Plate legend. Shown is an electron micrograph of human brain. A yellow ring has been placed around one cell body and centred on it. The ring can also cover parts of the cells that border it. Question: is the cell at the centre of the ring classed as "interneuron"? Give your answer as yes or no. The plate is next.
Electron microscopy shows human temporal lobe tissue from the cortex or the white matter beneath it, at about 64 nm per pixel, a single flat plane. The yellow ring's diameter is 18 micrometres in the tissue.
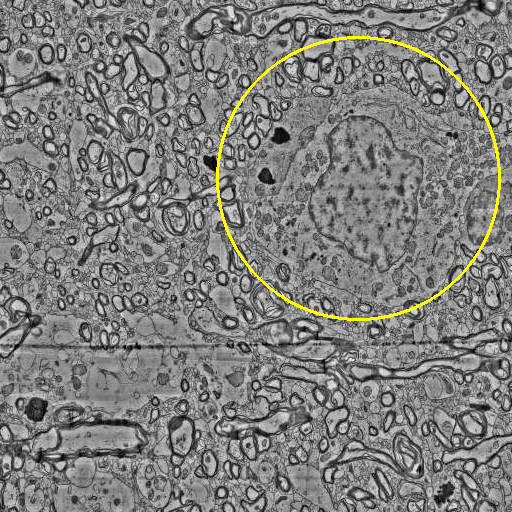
Yes, the ringed cell is of that kind.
